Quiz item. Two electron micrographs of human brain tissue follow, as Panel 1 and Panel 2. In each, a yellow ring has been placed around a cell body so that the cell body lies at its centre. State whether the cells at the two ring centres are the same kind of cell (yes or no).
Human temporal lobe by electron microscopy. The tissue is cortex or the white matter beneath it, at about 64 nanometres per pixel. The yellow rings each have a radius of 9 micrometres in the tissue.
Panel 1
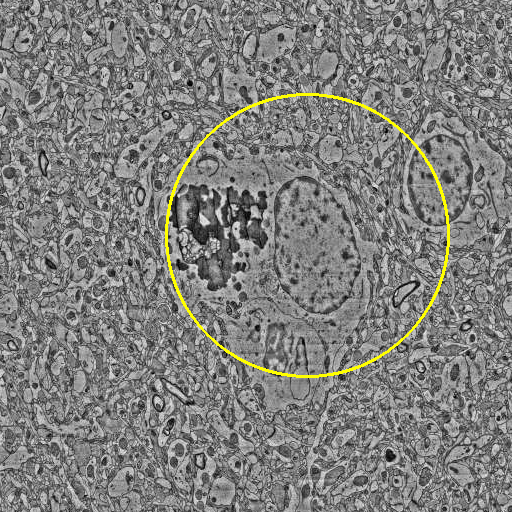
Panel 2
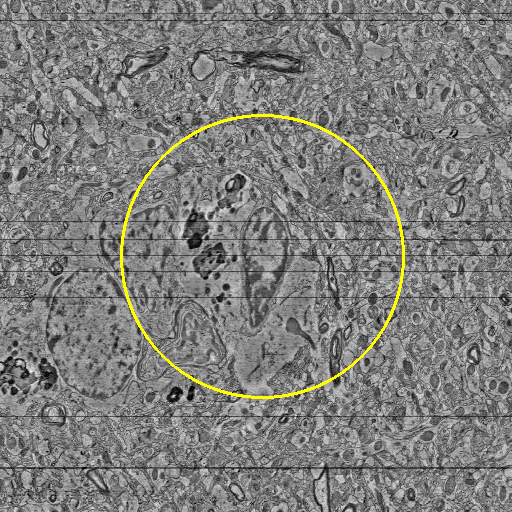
no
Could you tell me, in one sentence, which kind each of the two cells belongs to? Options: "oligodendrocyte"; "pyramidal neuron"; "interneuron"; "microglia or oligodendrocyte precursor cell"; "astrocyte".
At the centre of the first ring sits an astrocyte, and at the centre of the second sits a microglial cell or oligodendrocyte precursor cell.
